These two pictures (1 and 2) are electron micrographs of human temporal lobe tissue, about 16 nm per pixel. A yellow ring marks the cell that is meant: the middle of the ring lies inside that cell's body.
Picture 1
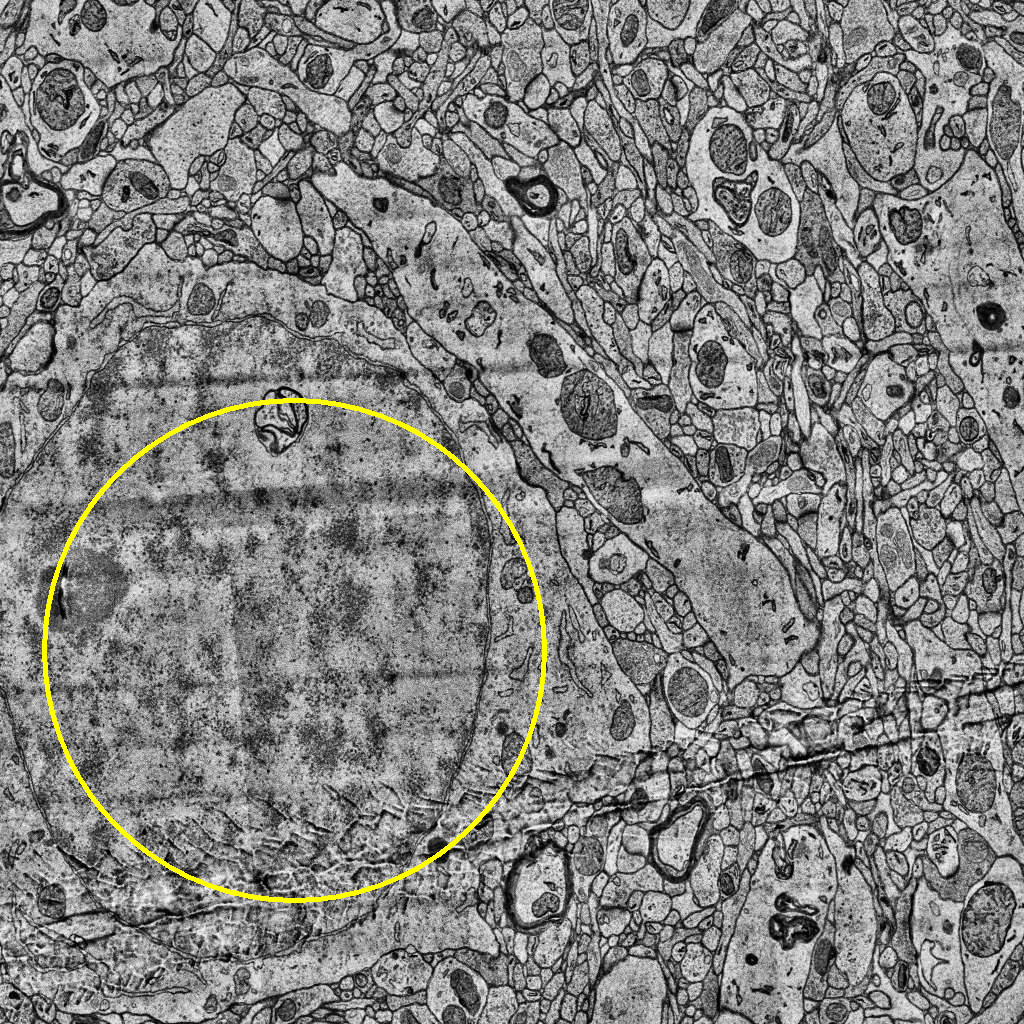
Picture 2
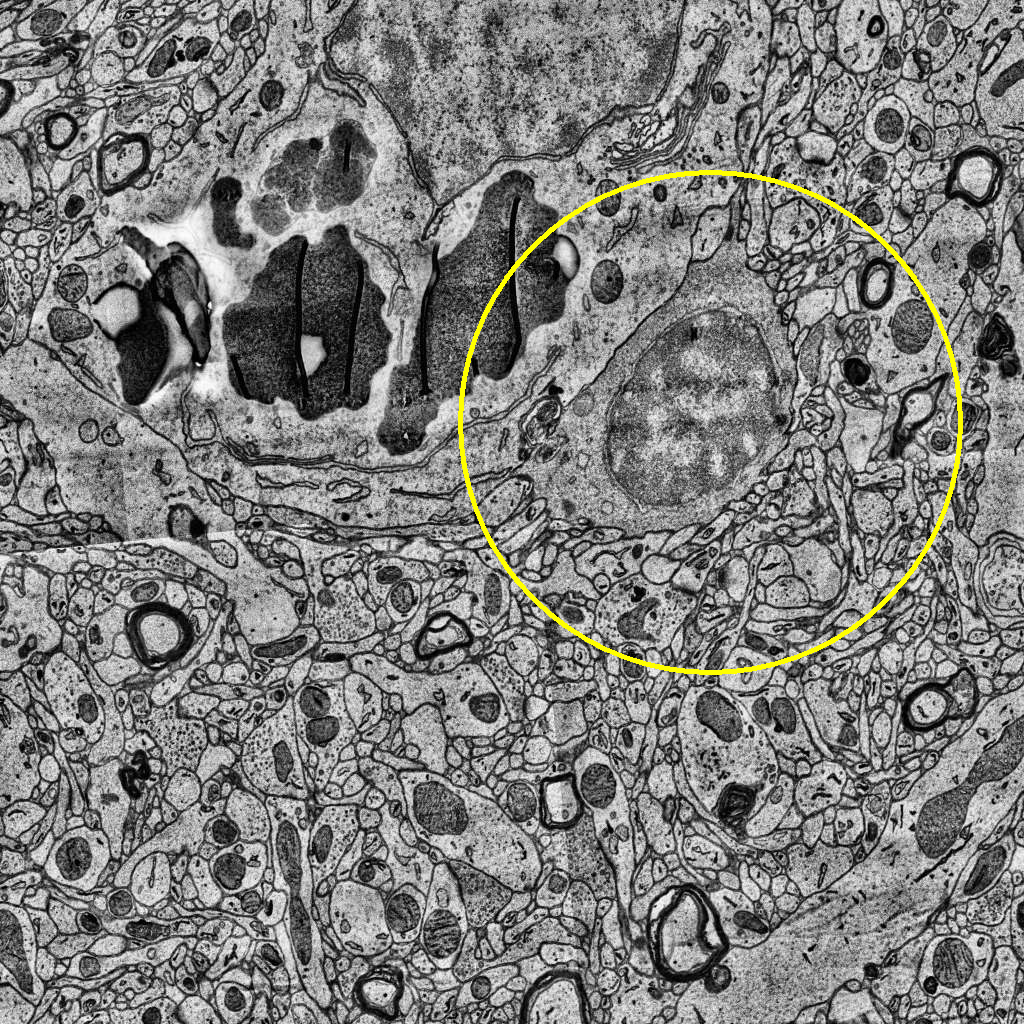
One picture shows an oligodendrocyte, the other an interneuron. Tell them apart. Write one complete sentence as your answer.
Picture 2 shows an oligodendrocyte, while picture 1 shows an interneuron.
